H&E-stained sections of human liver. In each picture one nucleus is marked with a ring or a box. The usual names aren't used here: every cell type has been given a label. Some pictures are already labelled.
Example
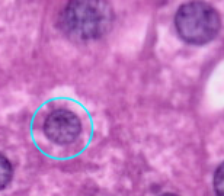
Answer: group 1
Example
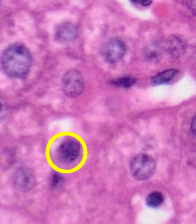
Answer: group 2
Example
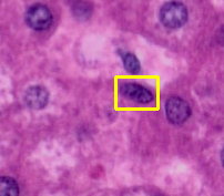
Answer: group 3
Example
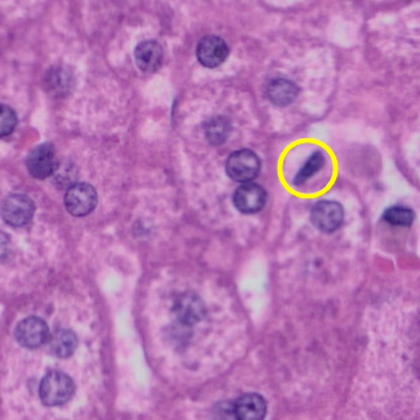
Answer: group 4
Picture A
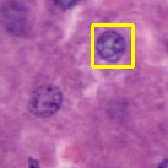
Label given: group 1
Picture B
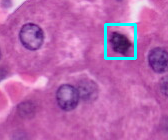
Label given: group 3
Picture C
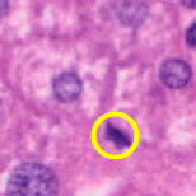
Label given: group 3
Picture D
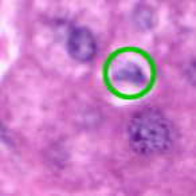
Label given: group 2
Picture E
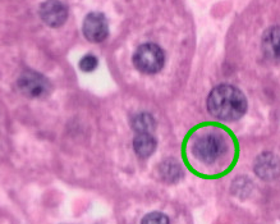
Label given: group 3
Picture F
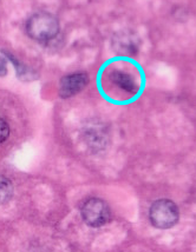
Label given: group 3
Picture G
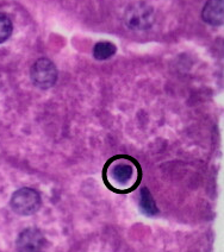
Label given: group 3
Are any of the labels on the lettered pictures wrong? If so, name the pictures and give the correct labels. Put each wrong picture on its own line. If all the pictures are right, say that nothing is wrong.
G: not group 3 but group 4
